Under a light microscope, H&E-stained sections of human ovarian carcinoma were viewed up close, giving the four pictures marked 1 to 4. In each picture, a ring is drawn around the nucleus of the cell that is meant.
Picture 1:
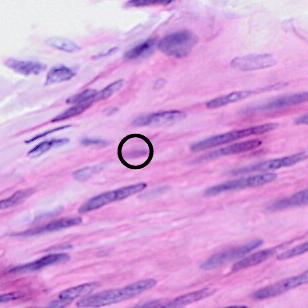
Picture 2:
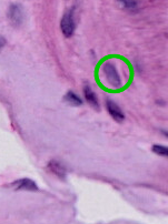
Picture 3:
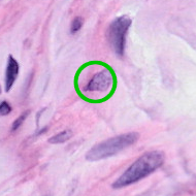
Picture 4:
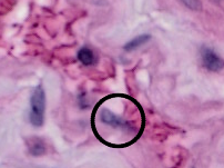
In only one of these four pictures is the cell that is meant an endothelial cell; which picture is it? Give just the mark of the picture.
4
